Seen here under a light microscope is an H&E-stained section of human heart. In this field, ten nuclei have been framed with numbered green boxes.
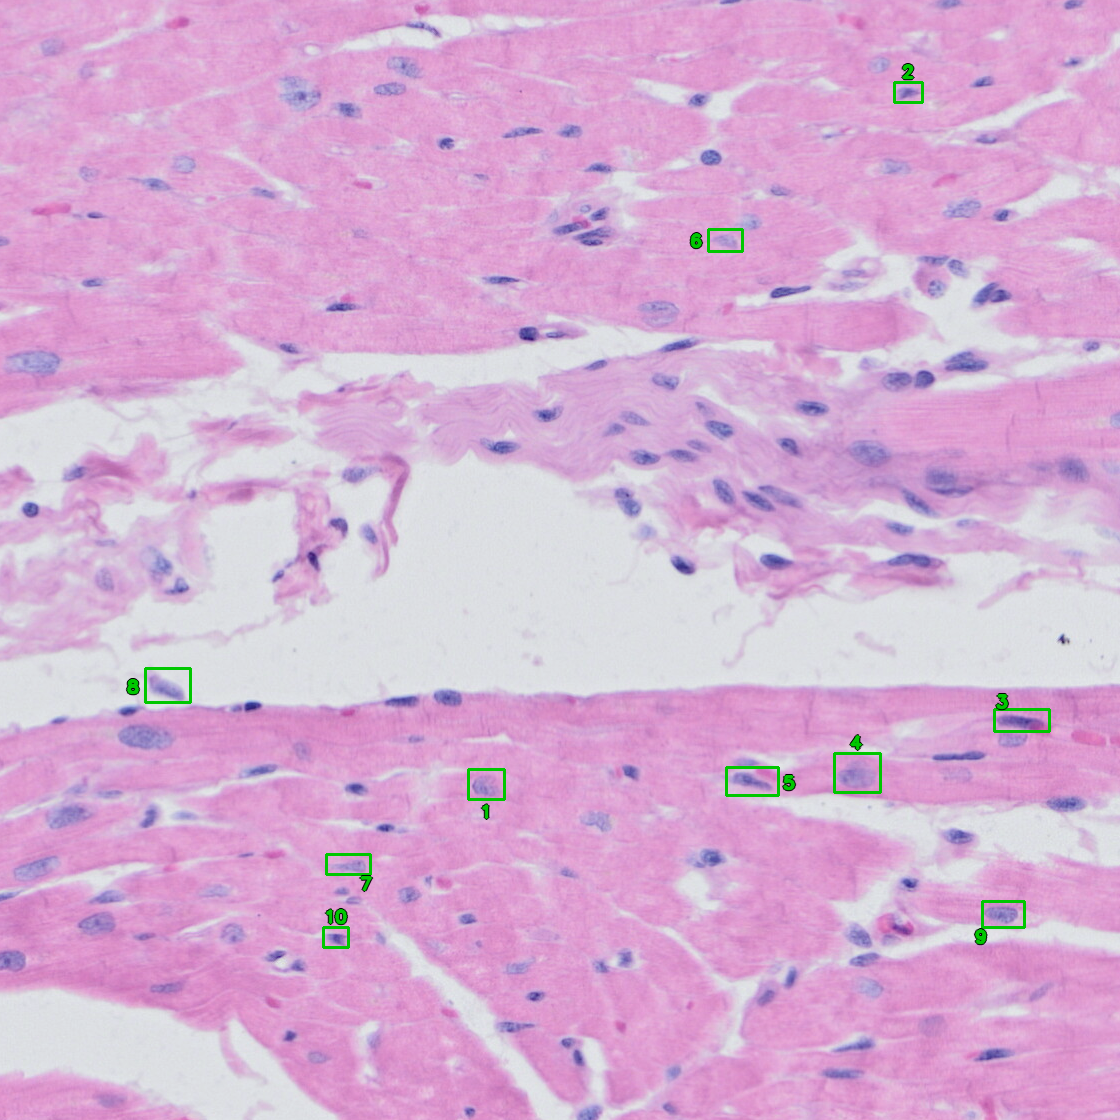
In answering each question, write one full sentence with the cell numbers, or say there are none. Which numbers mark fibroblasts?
Here, the cells that carry numbers 5 and 8 are fibroblasts.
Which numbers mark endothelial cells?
Cells 2, 3 and 10 are recognised here as endothelial cells.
